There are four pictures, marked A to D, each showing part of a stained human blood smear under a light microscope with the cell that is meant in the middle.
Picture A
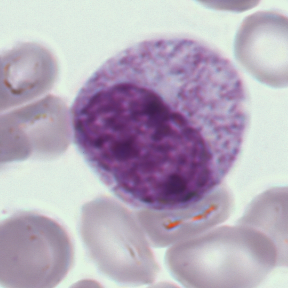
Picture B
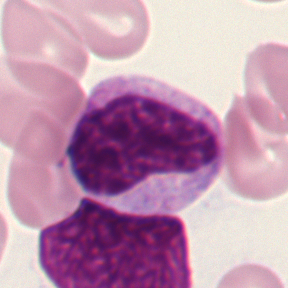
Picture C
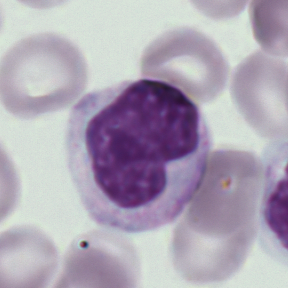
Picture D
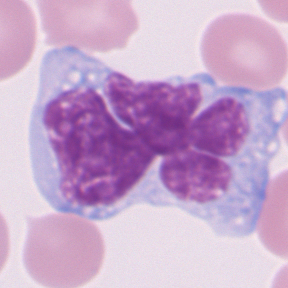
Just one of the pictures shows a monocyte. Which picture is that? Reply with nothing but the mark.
D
